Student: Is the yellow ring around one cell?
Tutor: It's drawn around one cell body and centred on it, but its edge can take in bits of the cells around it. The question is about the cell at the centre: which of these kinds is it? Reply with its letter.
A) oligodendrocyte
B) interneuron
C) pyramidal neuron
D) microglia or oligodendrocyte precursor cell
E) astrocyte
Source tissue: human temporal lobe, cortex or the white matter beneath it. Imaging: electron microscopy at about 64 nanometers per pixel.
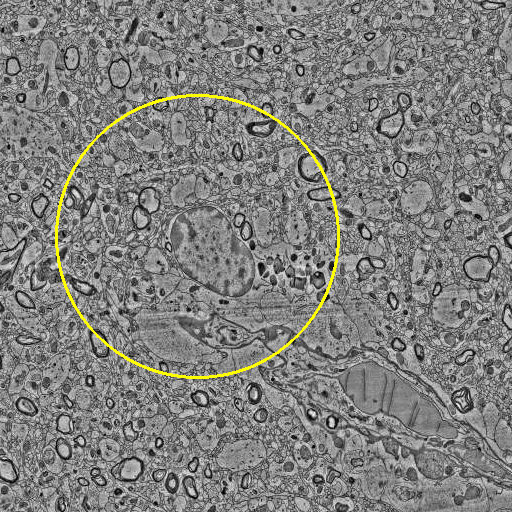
D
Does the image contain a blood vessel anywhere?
Yes, a blood vessel shows in the picture.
